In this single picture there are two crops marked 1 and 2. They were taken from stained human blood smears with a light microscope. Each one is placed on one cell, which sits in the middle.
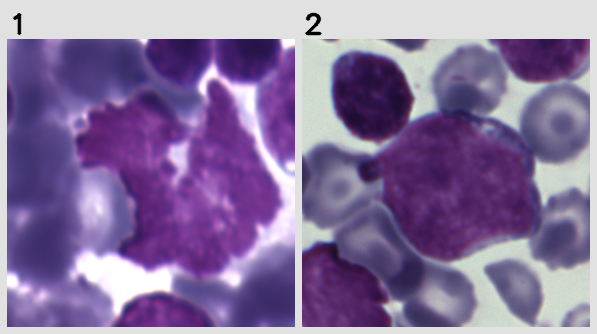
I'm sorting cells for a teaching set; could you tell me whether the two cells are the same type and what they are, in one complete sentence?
No, the cell centred in crop 1 is a smudge cell, and that centred in crop 2 is a myeloblast.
